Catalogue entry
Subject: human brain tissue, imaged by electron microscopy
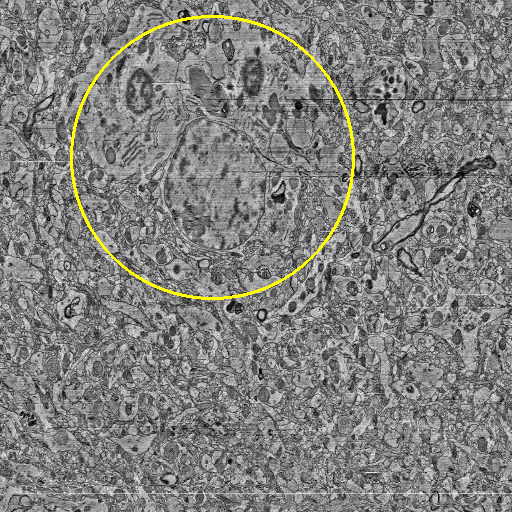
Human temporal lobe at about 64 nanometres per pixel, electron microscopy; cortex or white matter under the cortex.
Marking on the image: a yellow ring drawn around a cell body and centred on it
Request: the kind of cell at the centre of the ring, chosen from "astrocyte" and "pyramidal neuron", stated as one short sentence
The ring has an astrocyte at its centre.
